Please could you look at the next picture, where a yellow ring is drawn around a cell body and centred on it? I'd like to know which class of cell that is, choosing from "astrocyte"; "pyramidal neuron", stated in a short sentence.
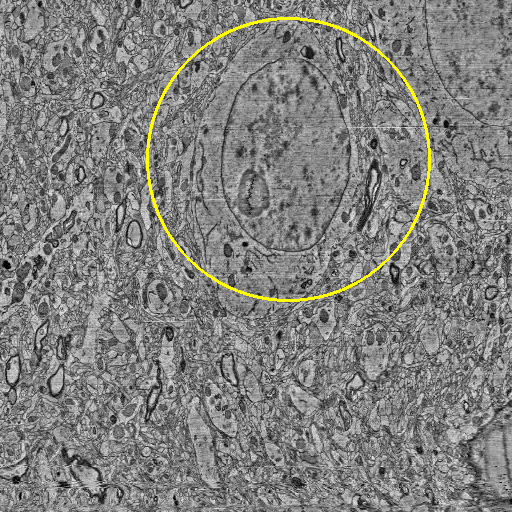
The ring's centre lies on a pyramidal neuron.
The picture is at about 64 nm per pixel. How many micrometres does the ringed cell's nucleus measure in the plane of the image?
In this plane the nucleus measures about 13 by 8 micrometres and is clearly longer than it is wide.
